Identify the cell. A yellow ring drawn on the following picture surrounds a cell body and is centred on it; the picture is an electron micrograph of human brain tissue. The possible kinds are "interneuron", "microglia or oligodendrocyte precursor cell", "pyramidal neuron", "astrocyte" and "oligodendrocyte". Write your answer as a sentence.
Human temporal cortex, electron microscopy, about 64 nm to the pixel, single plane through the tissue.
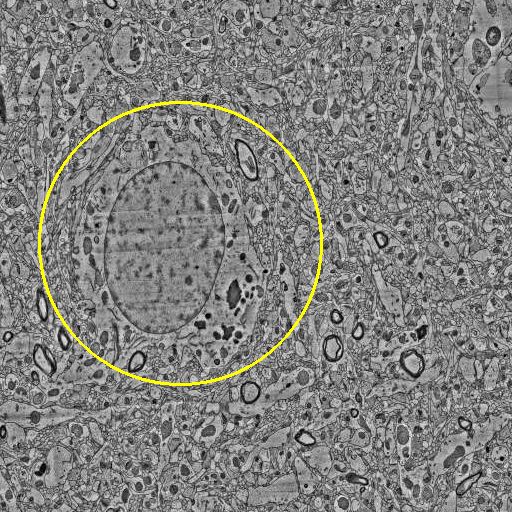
The cell identified by the ring is an astrocyte.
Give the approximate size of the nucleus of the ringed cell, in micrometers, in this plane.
The nucleus measures about 11 by 8 micrometres in this plane.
